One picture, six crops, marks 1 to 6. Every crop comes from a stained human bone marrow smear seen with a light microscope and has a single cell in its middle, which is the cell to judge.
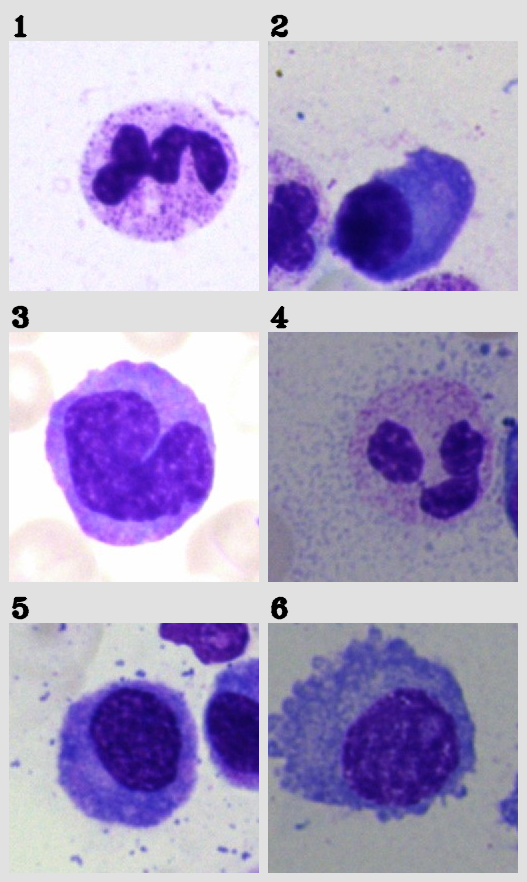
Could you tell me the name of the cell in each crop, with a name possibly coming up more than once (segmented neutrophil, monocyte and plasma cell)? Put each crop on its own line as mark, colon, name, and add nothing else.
1: segmented neutrophil
2: plasma cell
3: monocyte
4: segmented neutrophil
5: plasma cell
6: plasma cell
